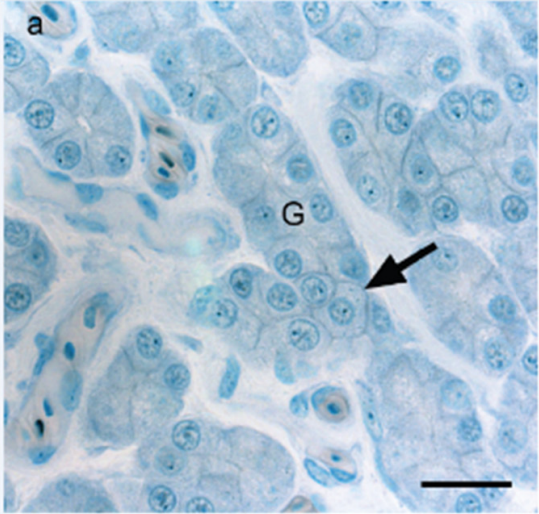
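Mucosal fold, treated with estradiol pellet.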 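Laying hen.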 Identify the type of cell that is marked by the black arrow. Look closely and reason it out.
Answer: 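The arrow points at a cluster of large polygonal cells with round nuclei and prominent nucleoli. These cells are packed into rounded glandular units separated by pale connective tissue. That points to this answer: tubular gland cells.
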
